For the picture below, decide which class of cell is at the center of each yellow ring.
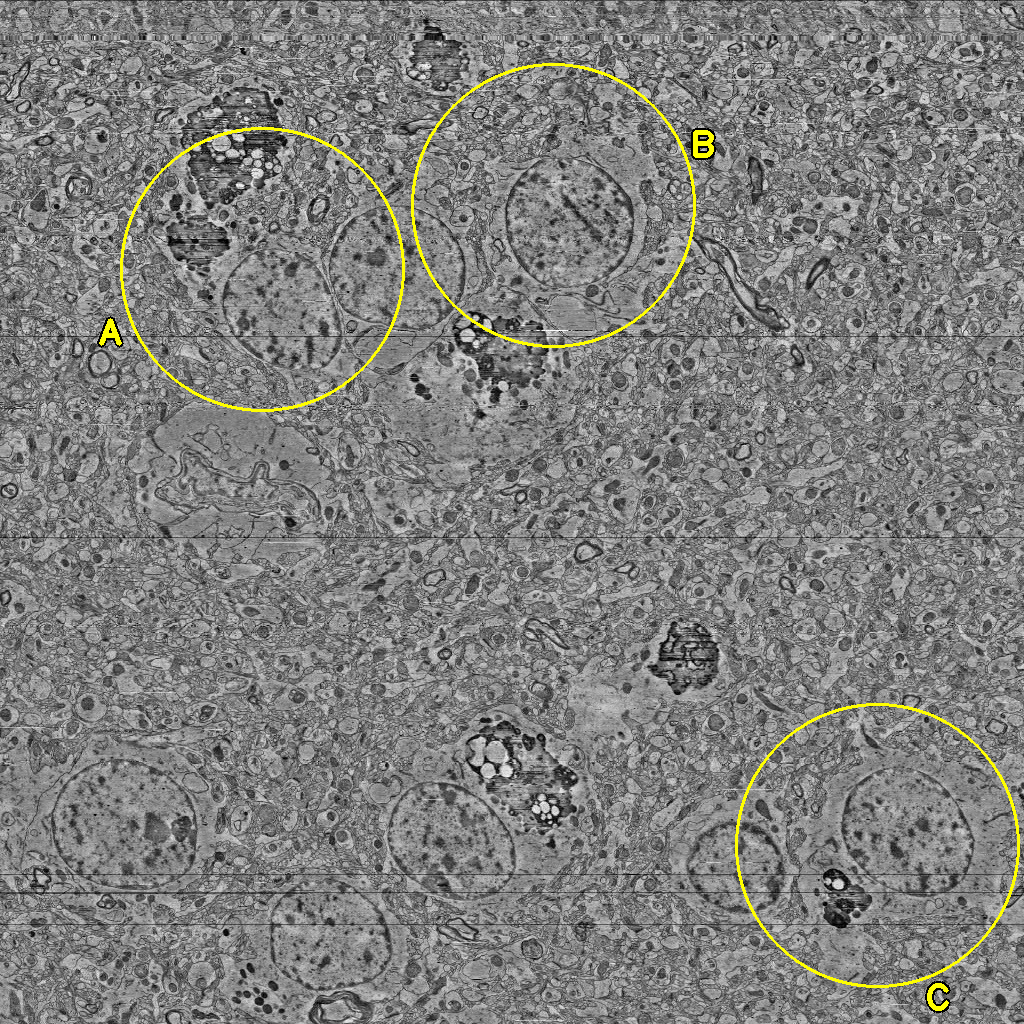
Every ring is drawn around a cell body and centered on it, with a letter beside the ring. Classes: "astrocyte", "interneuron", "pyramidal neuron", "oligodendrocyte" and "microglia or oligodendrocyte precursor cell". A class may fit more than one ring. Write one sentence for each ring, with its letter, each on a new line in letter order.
Centered in ring A is an astrocyte.
Centered in ring B is an astrocyte.
Centered in ring C is an astrocyte.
